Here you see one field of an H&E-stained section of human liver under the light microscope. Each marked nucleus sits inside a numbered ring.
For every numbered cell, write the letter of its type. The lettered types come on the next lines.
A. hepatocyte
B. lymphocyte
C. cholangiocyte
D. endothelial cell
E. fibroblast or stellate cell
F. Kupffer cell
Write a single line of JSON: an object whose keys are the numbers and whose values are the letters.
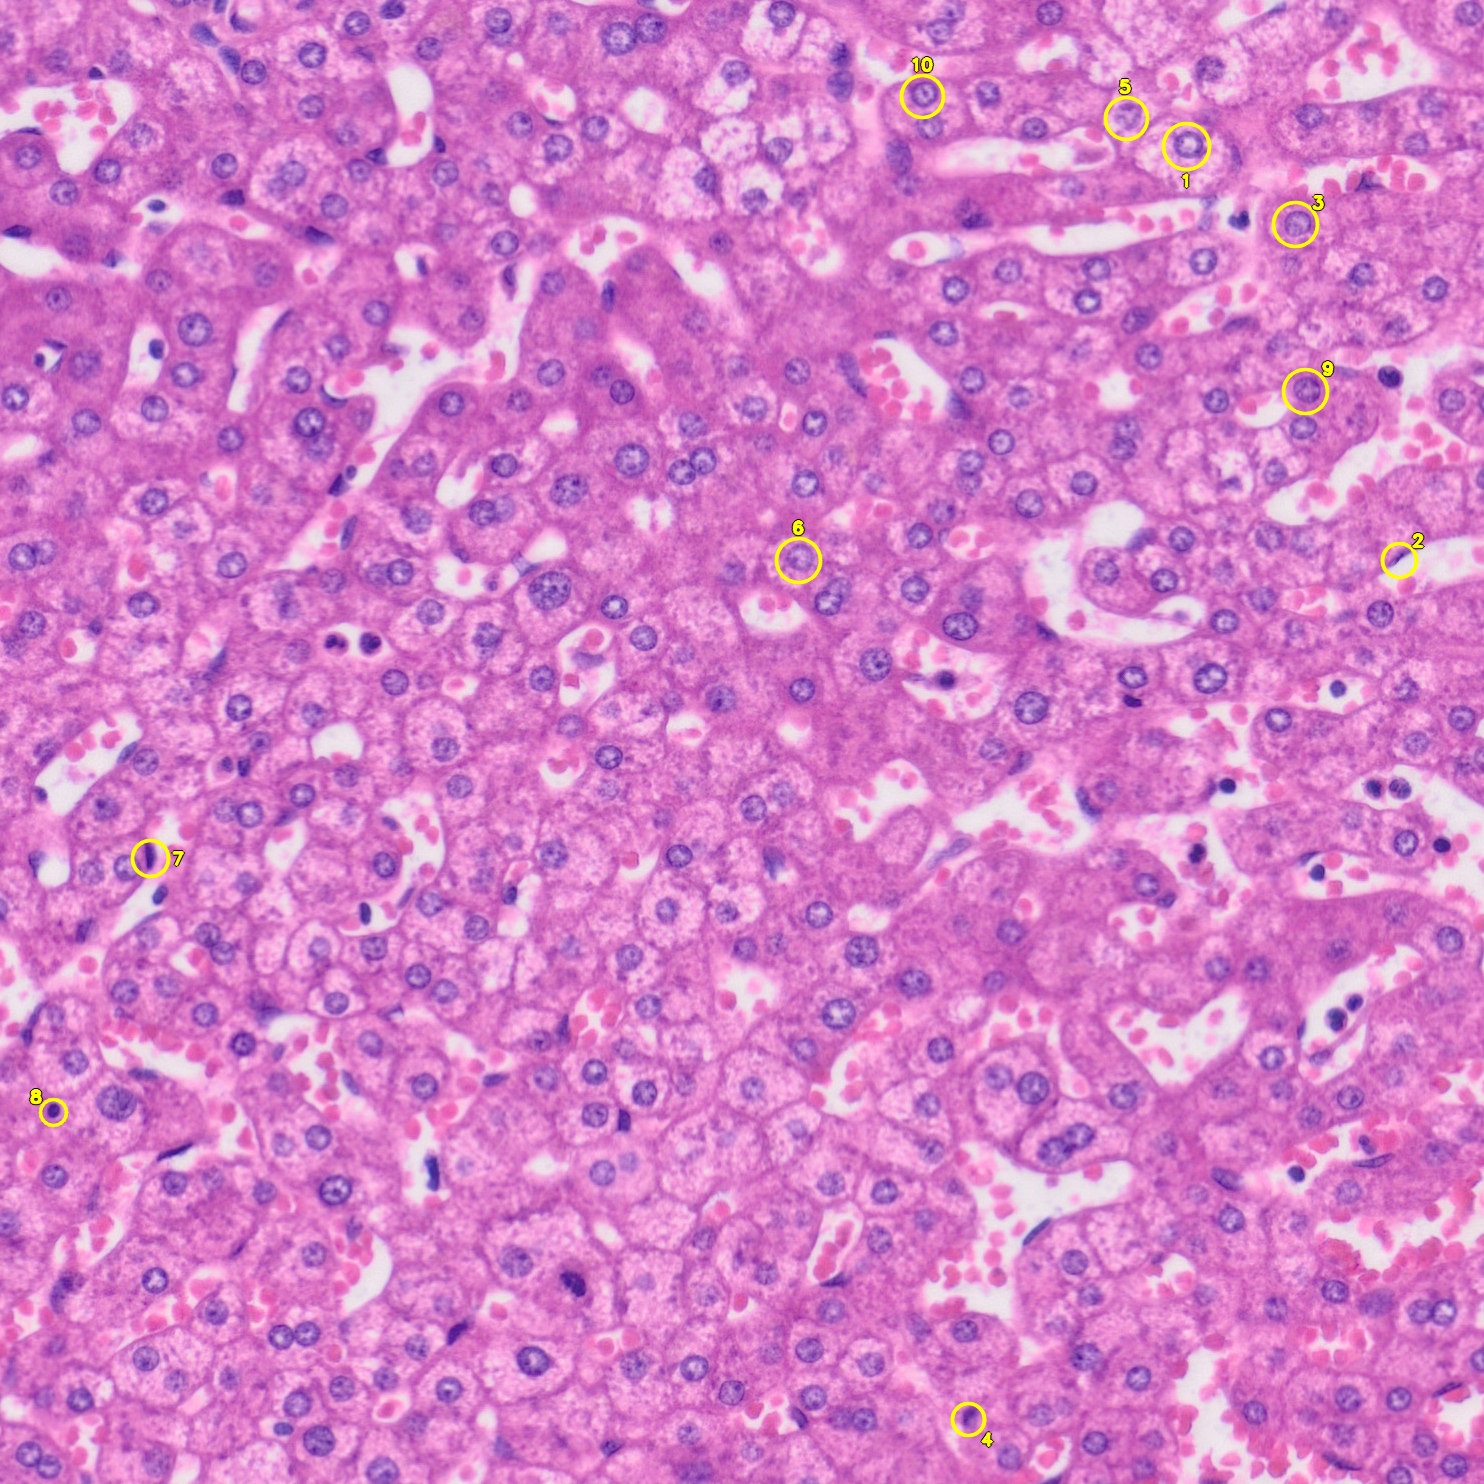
{"1": "A", "2": "D", "3": "A", "4": "E", "5": "A", "6": "A", "7": "E", "8": "B", "9": "A", "10": "A"}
